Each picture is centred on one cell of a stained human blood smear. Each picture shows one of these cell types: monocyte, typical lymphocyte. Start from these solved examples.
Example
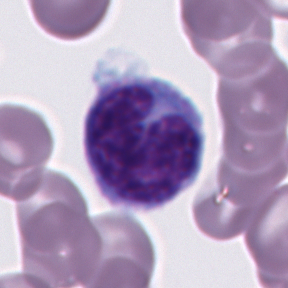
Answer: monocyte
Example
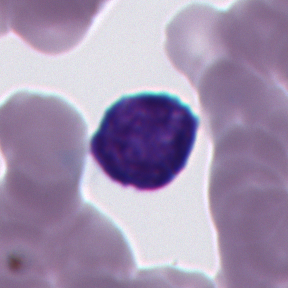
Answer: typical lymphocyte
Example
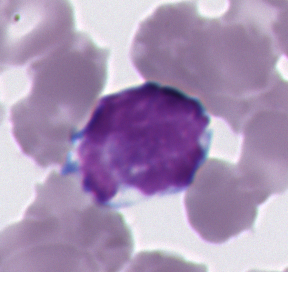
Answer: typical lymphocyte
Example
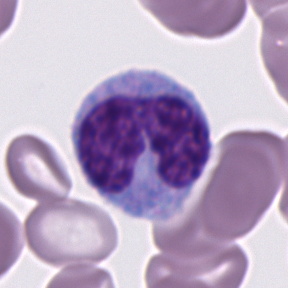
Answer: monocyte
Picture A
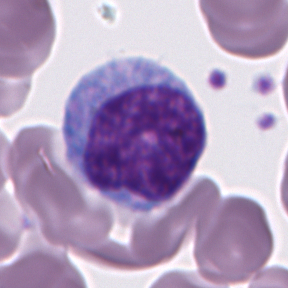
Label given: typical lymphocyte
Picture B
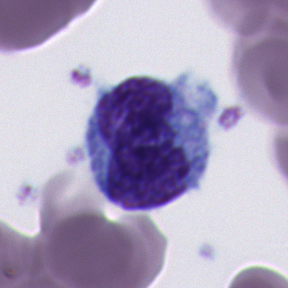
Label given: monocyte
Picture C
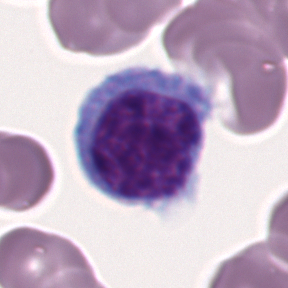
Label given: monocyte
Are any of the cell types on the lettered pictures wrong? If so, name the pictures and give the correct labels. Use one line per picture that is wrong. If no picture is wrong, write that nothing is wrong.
A should be monocyte, not typical lymphocyte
